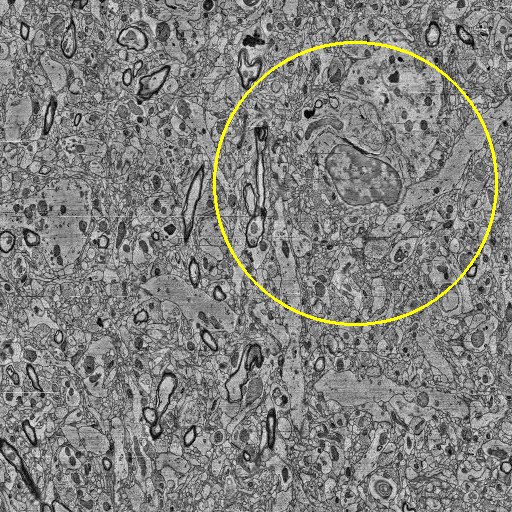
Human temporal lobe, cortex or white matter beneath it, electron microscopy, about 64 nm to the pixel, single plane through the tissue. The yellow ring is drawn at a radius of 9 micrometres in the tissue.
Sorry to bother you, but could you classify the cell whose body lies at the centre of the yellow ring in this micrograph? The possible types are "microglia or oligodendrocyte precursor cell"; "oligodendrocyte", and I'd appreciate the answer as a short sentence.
The ringed cell body is that of a microglial cell or oligodendrocyte precursor cell.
